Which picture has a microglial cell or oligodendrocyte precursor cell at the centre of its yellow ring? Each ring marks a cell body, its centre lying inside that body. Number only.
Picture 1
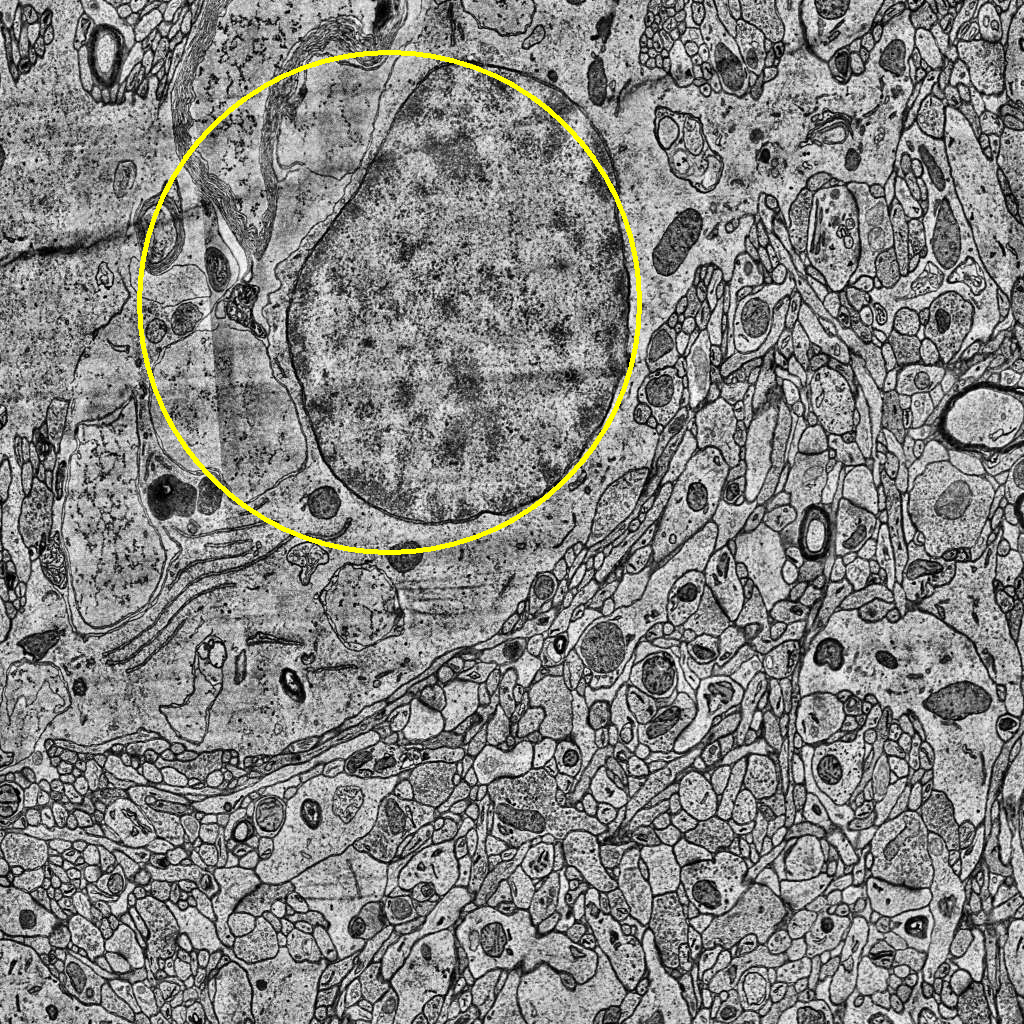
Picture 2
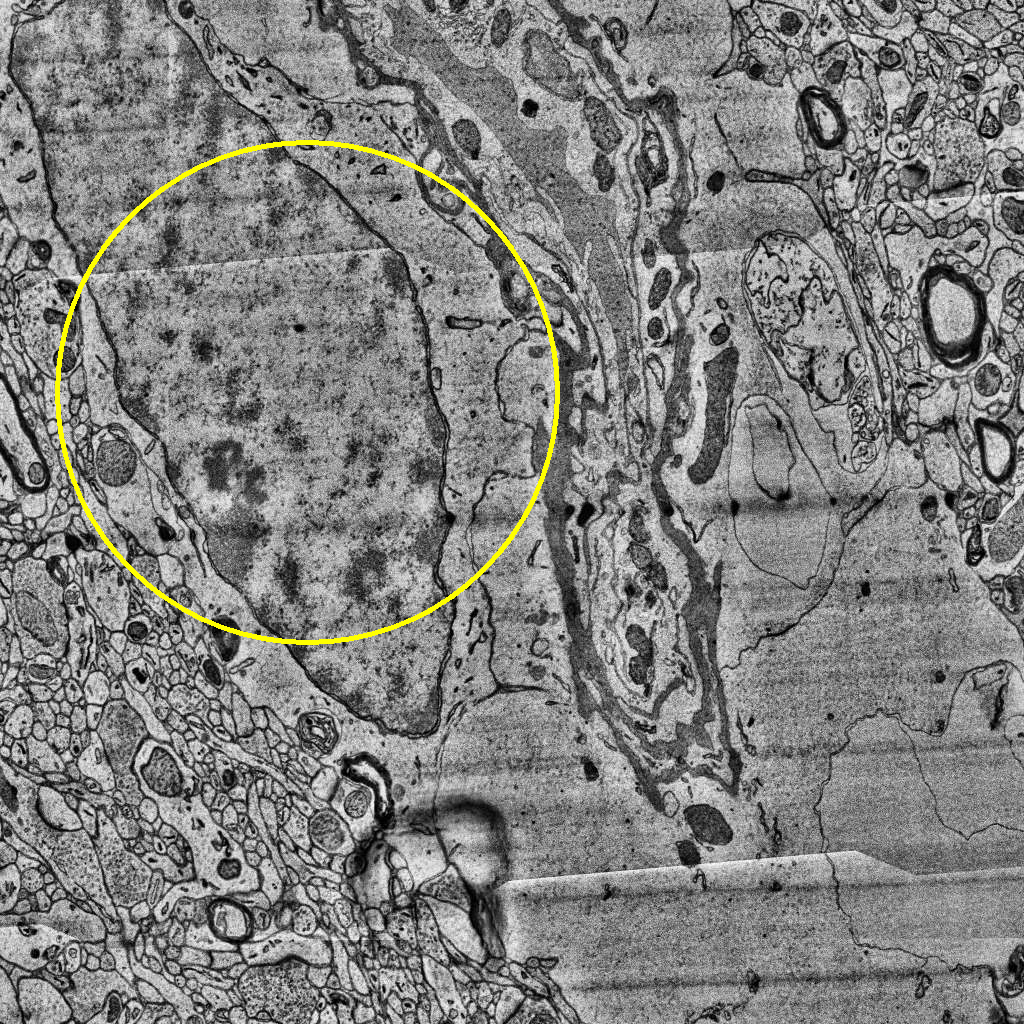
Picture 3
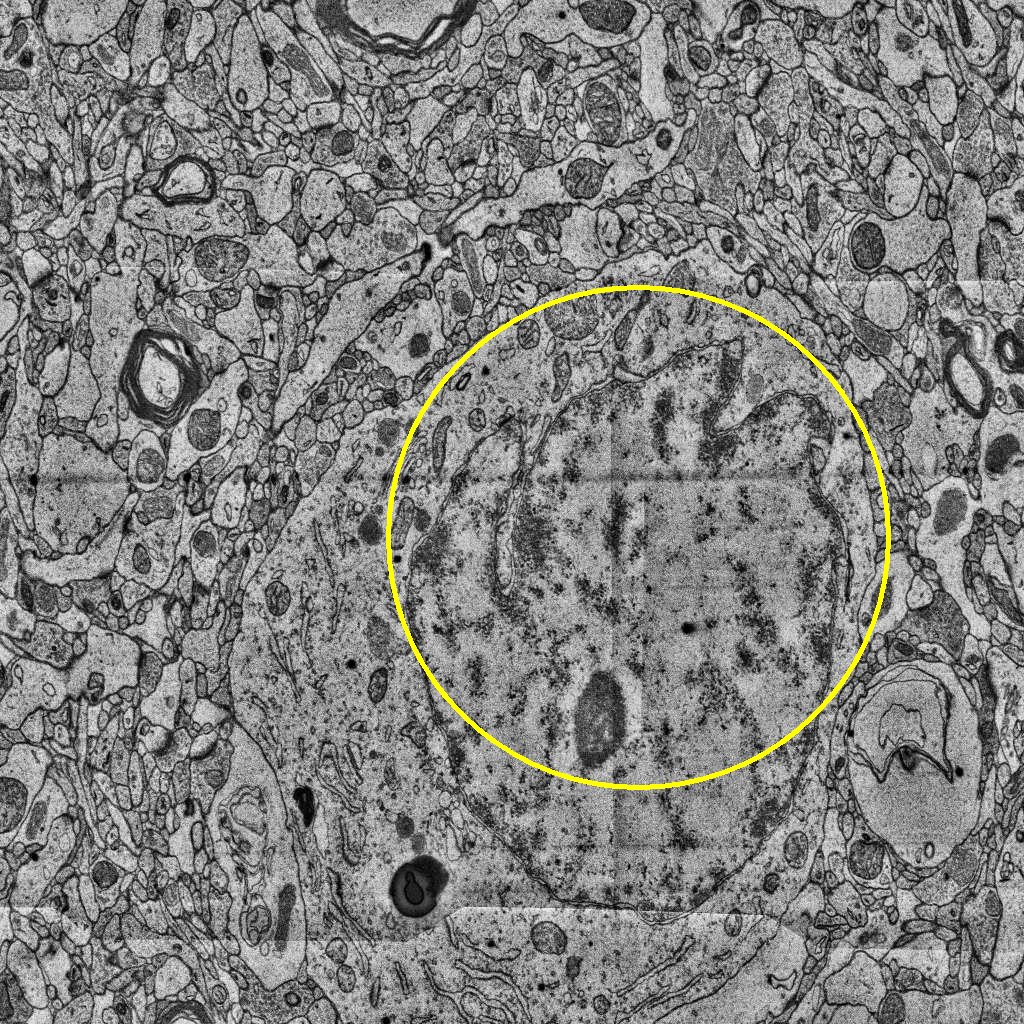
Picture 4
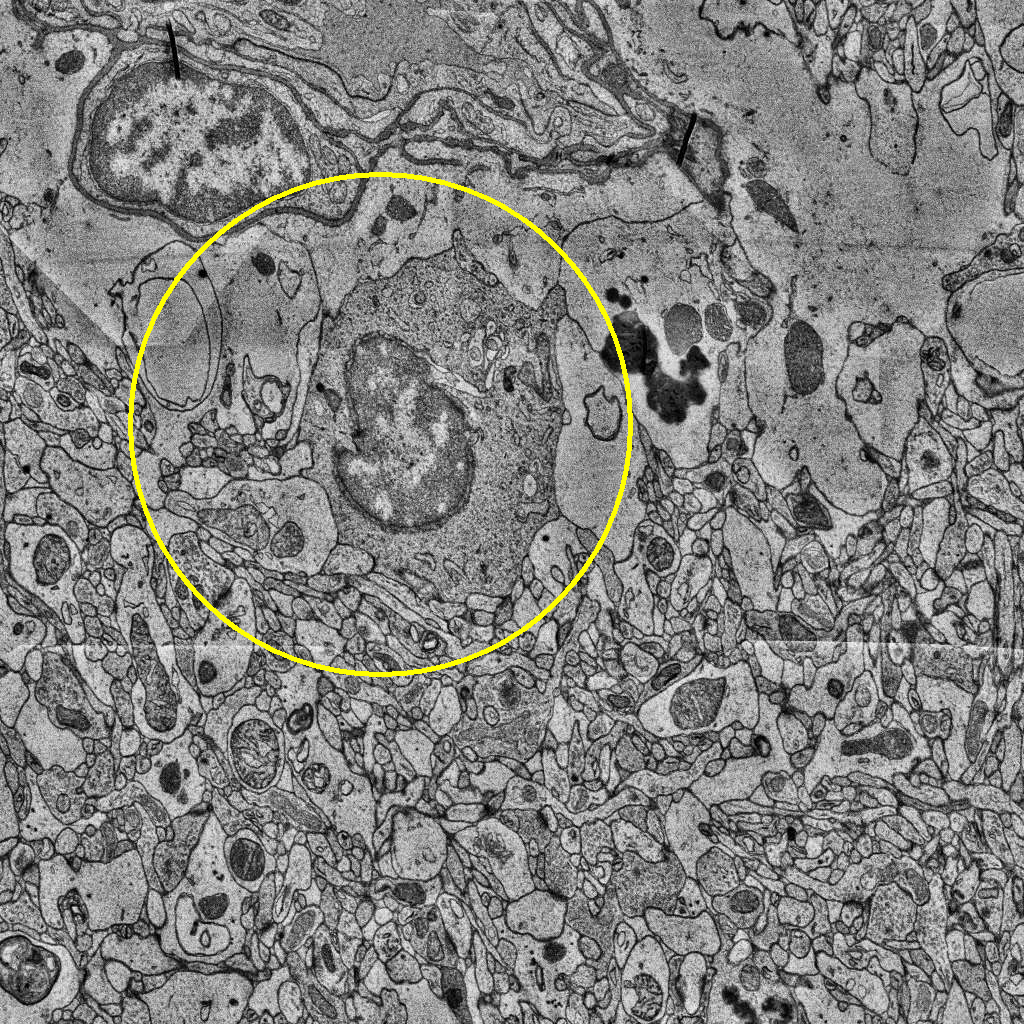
2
